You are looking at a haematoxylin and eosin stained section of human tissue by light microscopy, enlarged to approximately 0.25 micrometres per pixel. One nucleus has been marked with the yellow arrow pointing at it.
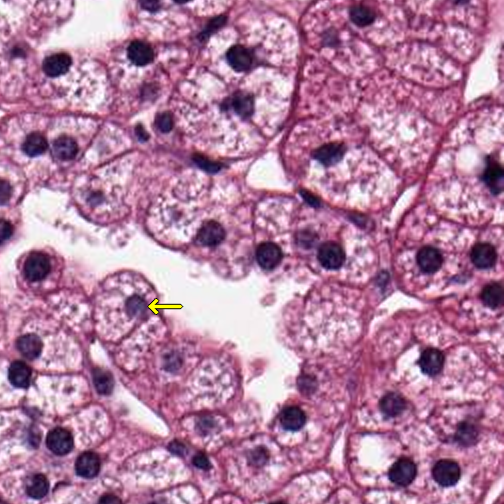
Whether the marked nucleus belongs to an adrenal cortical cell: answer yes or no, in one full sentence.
Yes, the marked nucleus is to be assigned to an adrenal cortical cell.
